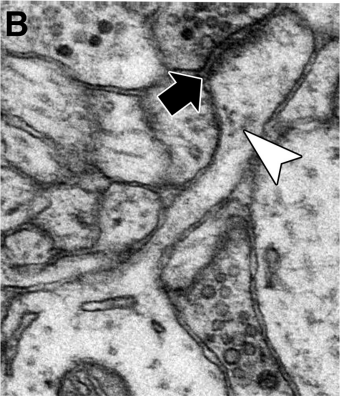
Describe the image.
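This electron micrograph shows neuropil containing a dendritic spine that carries a cluster of ribosomes in its head. The spine profile has pale cytoplasm and is outlined by dark plasma membranes. At one edge the spine head is closely apposed to a neighbouring profile, and the membrane there shows a dark thickening that marks a synapse. Small, round, electron-dense granules lie grouped together inside the spine, forming a polyribosome near the synaptic contact. The surrounding field is filled with tightly packed membrane-bound profiles of other neuronal and glial processes, some of which contain small round vesicles.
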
